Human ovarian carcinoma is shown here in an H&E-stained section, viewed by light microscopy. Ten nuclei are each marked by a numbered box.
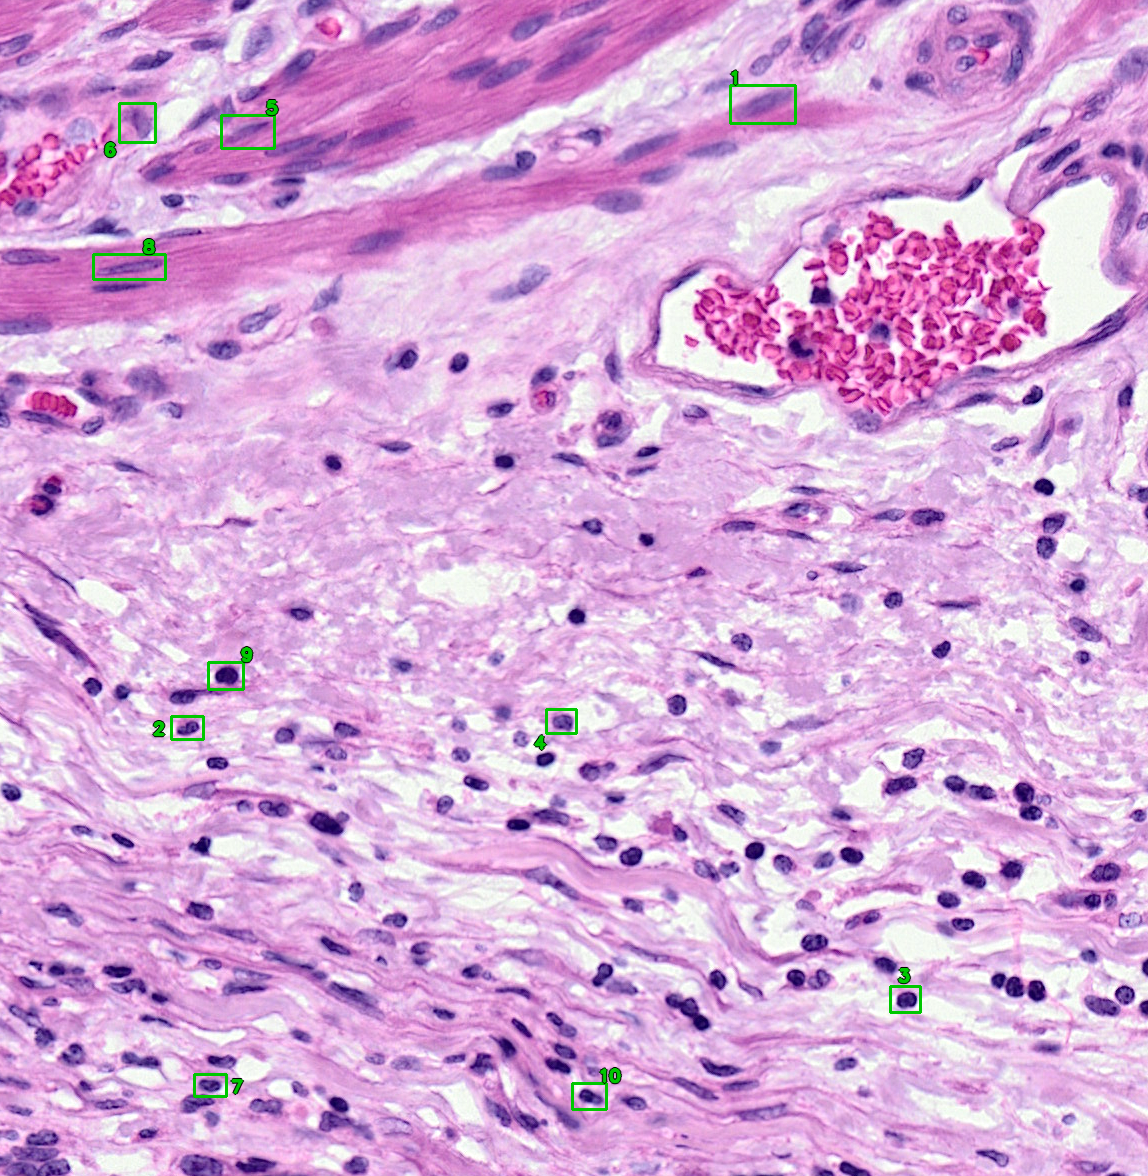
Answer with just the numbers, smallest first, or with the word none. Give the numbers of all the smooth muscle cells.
1, 5, 8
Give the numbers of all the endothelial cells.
6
